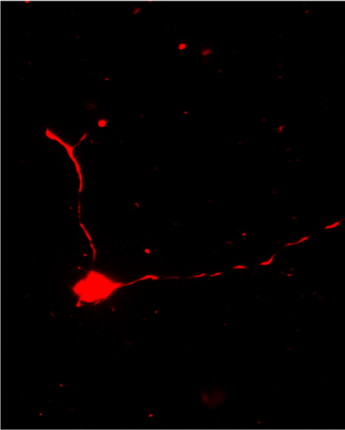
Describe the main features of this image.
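A single cultured neuron stands out in red against a dark background. The processes are many times longer than the cell body is wide. A few small red specks are scattered in the background.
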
